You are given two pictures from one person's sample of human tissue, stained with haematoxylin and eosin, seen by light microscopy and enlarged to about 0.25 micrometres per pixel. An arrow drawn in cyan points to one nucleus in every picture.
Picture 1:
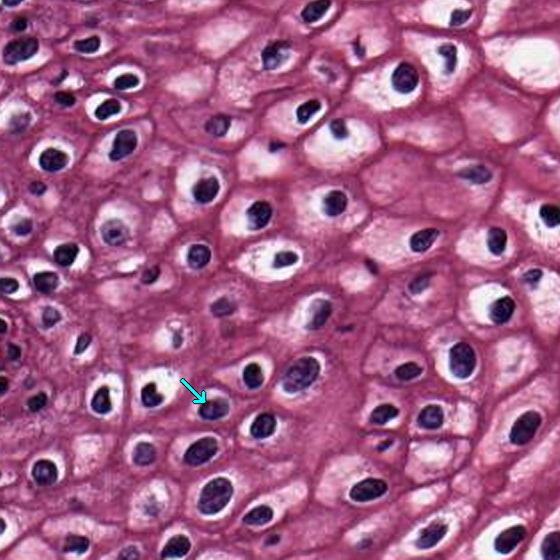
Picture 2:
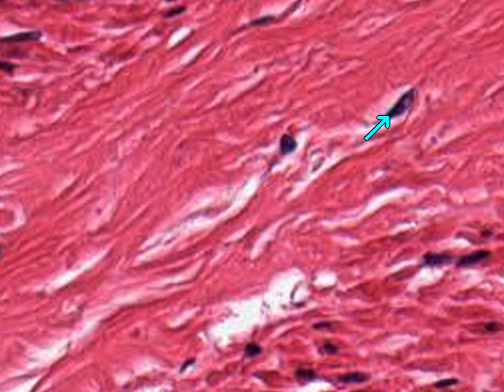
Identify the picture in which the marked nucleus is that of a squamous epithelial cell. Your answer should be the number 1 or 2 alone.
1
